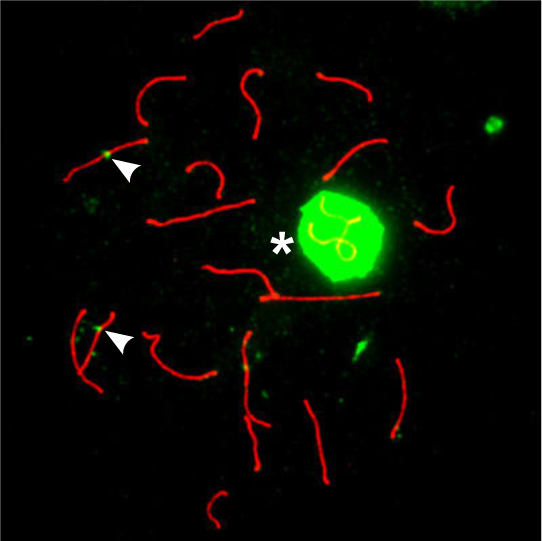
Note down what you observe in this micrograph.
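Spread of a pachytene spermatocyte with separate red, fully paired chromosome axes scattered across the field. A dense green cloud covers the sex body, enclosing short looped axes, while the other axes carry only a couple of small green foci.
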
